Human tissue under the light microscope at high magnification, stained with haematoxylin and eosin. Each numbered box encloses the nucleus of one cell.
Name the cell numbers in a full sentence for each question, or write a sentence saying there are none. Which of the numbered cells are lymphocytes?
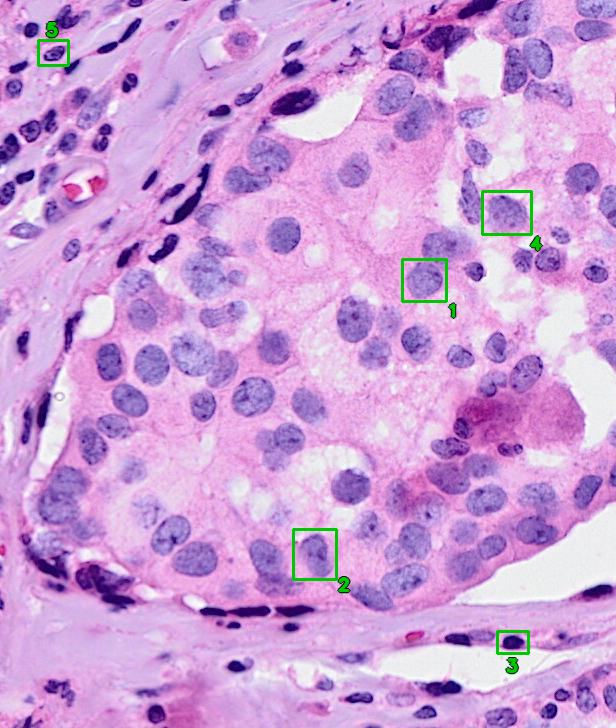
The numbers 3 and 5 mark cells that are lymphocytes.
